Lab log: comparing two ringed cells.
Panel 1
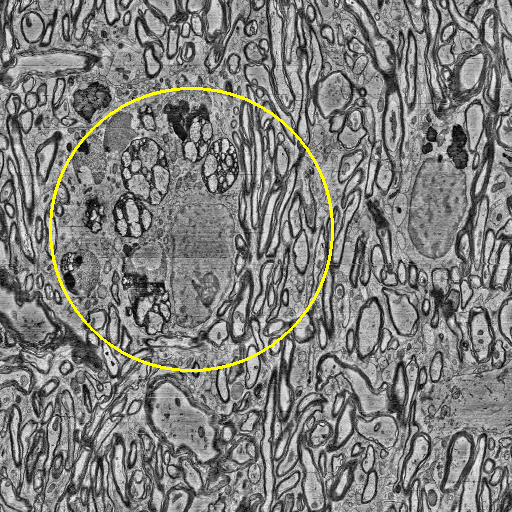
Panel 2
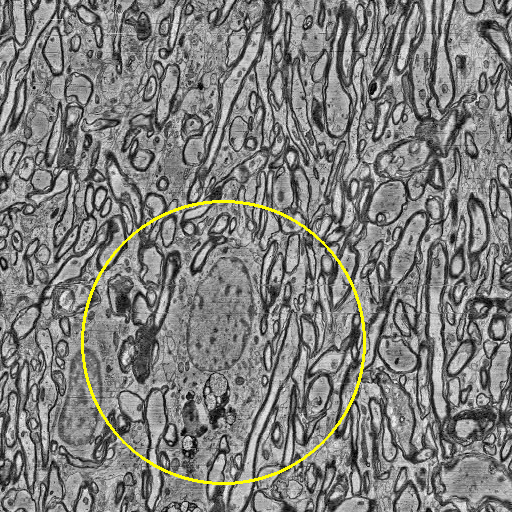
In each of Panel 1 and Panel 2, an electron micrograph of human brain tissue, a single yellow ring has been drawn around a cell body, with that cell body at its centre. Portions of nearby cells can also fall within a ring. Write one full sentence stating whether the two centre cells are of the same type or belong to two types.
The cells at the ring centres in Panel 1 and Panel 2 are of the same type.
